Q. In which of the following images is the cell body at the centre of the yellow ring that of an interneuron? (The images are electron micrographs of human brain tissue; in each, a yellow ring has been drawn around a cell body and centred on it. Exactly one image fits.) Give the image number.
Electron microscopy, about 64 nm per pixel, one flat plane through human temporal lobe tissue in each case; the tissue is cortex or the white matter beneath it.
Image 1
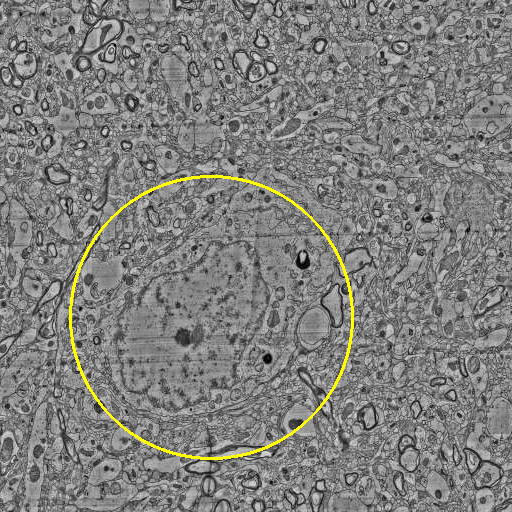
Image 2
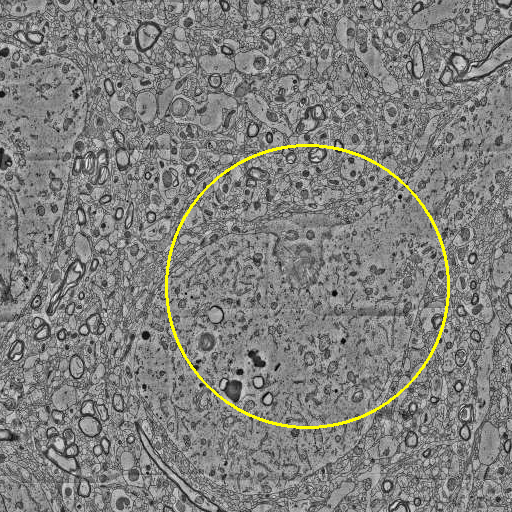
1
